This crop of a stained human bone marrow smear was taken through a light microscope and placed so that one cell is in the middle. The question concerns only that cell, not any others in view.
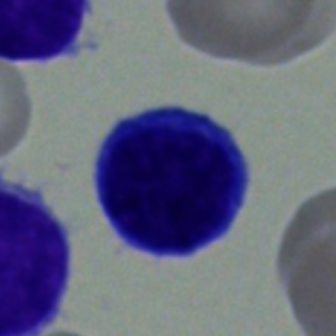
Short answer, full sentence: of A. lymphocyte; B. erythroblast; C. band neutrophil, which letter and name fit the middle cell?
Option A, which names the central cell as a lymphocyte, is correct.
